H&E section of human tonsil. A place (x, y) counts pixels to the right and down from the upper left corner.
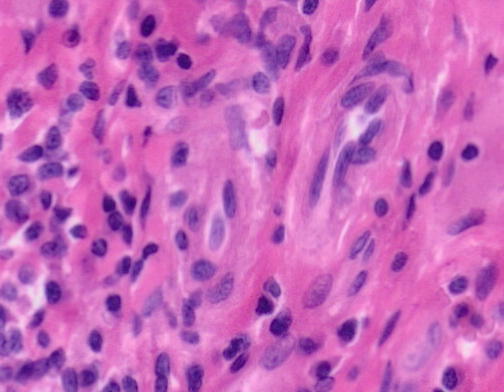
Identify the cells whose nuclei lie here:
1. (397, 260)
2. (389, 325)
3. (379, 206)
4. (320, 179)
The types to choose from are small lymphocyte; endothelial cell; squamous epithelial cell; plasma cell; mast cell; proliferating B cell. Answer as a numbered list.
1. mast cell
2. endothelial cell
3. mast cell
4. endothelial cell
